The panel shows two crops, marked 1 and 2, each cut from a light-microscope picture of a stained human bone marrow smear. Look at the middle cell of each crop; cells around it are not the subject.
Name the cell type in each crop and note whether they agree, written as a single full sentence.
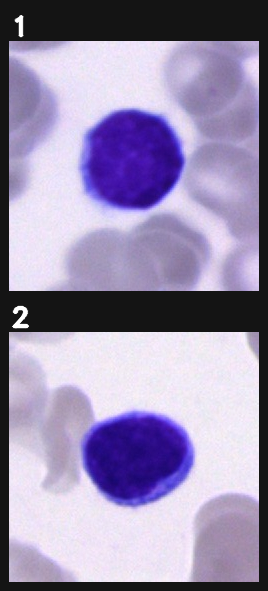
Yes, in both crops, lymphocytes are the cells at the middle.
